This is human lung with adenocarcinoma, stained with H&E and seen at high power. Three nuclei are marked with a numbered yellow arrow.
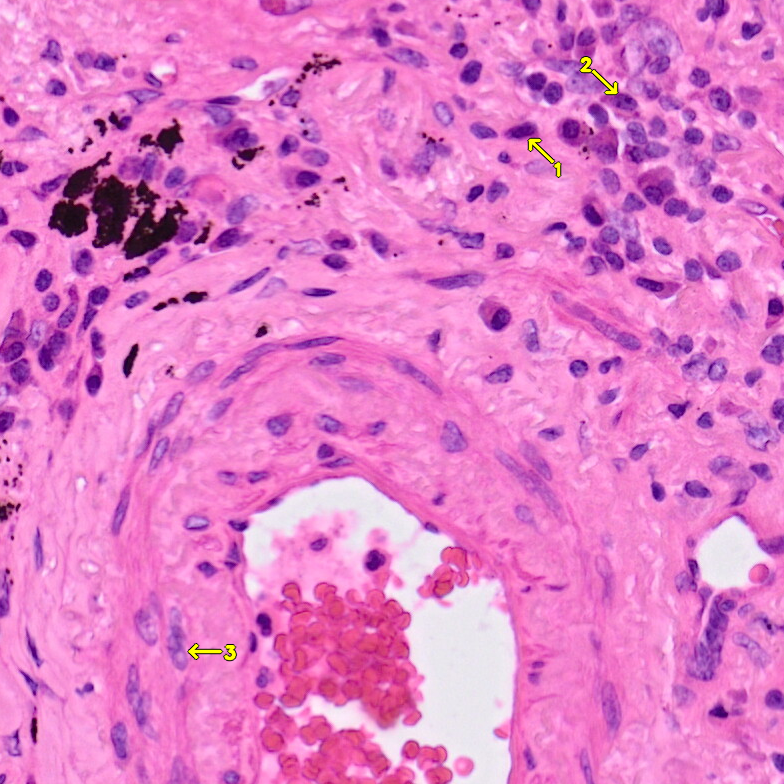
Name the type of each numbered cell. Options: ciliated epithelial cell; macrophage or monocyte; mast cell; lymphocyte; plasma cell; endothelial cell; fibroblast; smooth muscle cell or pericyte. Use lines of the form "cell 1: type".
cell 1: plasma cell
cell 2: plasma cell
cell 3: smooth muscle cell or pericyte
